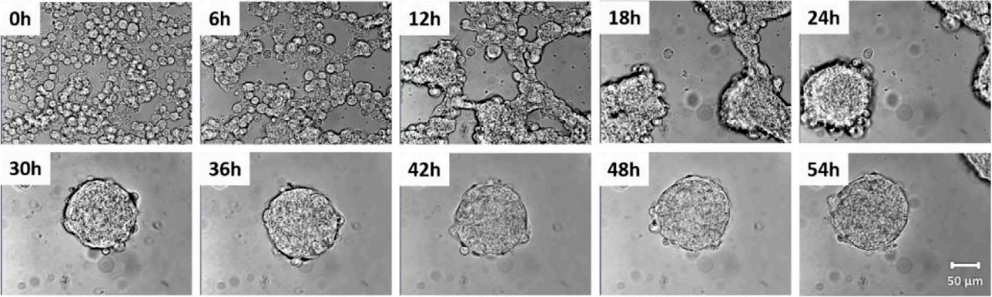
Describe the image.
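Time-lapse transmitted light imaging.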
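In the first frames many small, round, refractile cells lie loosely scattered, singly or in small groups, over the surface. In the following frames the cells come together into irregular sheets and strands that bridge the gaps between clusters, leaving bare background between them. In the last frames the mass is a roughly spherical body with a smooth, sharp border, and only a few loose round cells and debris lie around it.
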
